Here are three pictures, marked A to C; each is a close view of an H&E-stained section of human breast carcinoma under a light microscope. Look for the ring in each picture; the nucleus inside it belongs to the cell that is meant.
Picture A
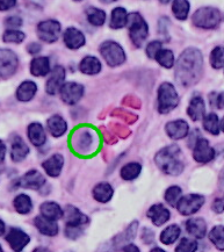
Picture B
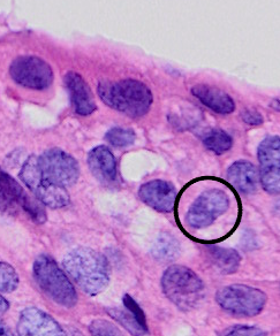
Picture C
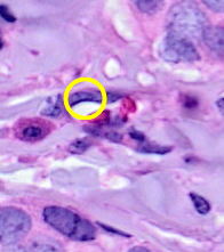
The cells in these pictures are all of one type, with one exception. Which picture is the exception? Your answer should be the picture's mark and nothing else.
B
